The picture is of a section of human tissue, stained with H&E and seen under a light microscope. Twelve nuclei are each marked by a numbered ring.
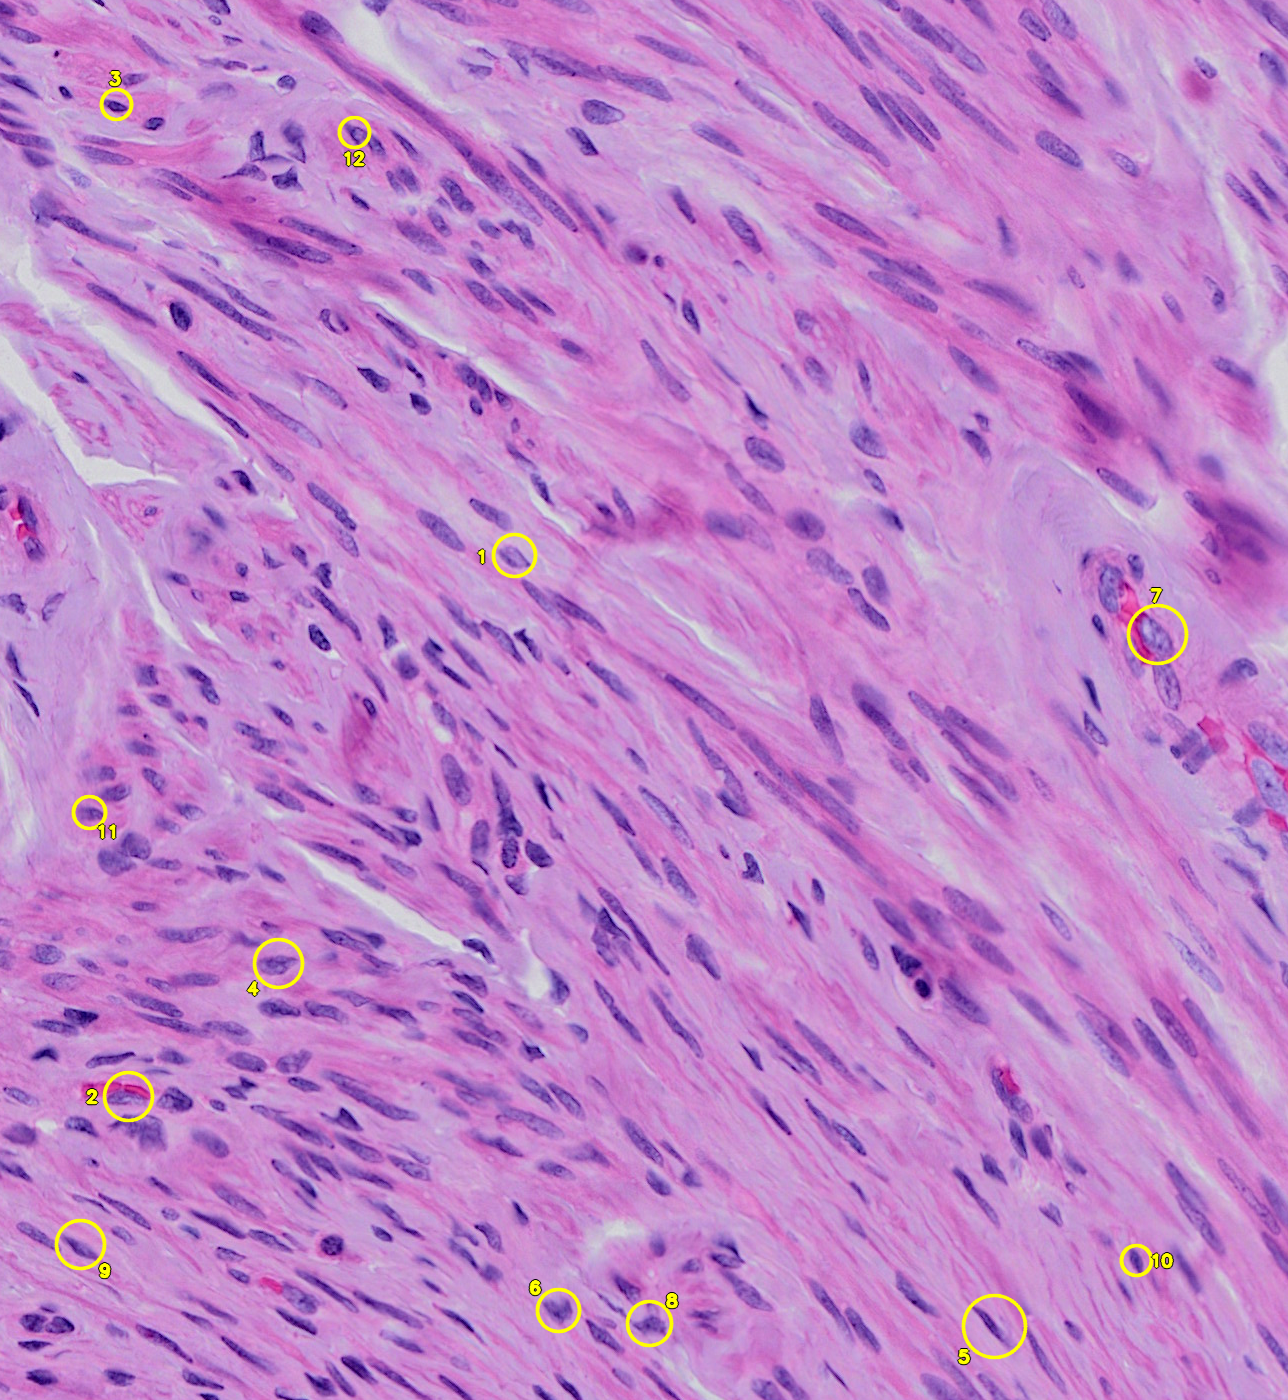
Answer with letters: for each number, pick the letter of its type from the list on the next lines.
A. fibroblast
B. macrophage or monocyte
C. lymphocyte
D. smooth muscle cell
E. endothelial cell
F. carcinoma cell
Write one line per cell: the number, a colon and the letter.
1: A
2: E
3: D
4: D
5: D
6: A
7: E
8: A
9: D
10: D
11: D
12: D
